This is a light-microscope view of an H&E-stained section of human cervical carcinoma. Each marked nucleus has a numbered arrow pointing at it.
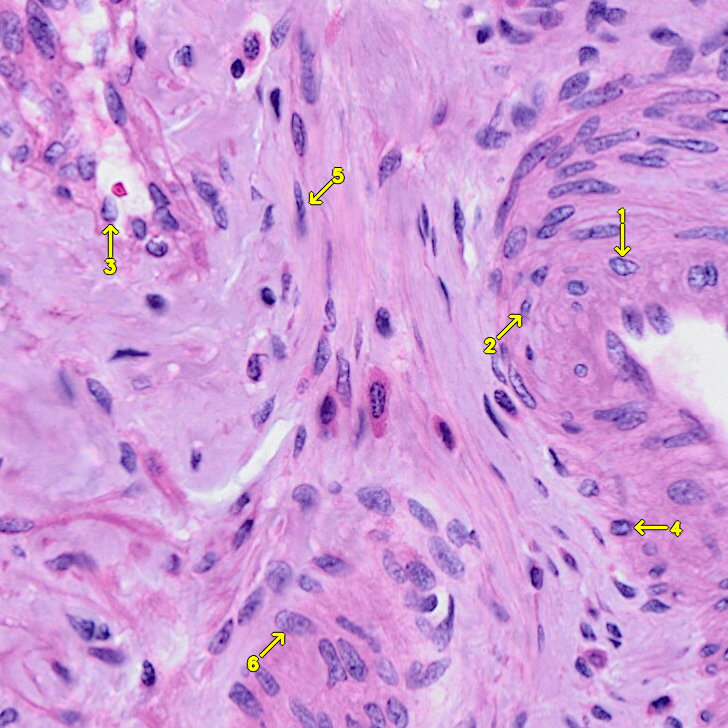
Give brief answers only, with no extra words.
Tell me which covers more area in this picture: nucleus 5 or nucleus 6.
6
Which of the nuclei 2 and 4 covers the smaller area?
2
